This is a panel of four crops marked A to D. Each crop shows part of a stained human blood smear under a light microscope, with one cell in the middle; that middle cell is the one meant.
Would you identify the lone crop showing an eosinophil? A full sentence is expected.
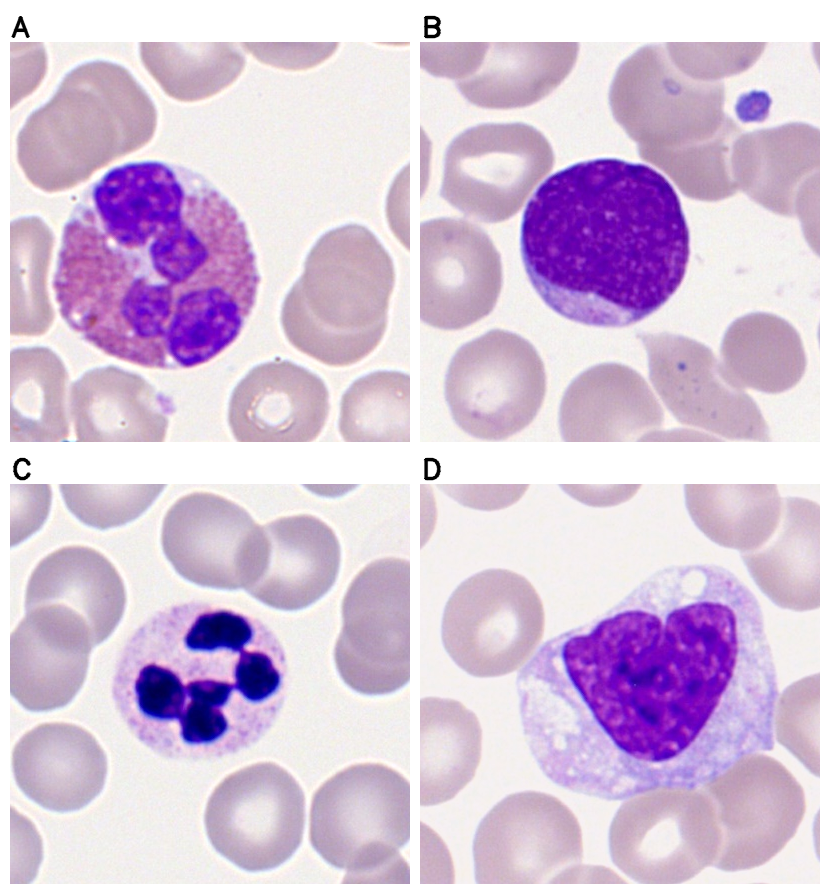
Crop A is the crop in which an eosinophil is shown.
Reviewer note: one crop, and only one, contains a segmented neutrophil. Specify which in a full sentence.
The crop marked C is the one in which a segmented neutrophil is shown.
